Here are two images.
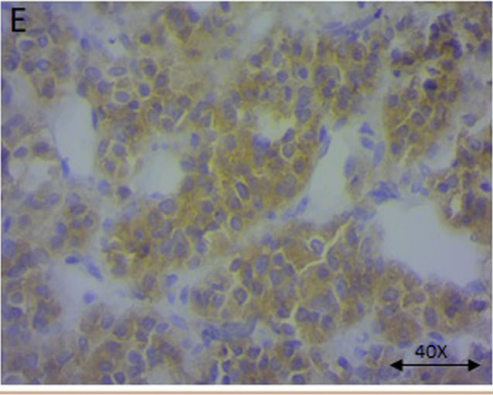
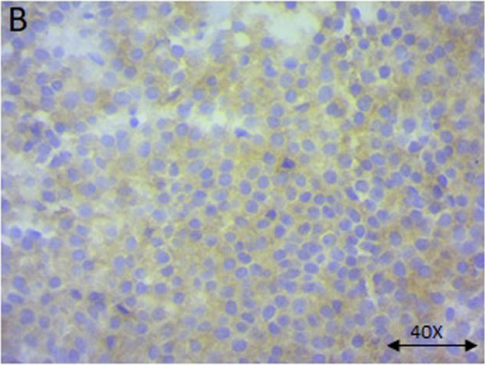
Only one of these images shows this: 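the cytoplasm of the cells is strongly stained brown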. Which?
The first image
